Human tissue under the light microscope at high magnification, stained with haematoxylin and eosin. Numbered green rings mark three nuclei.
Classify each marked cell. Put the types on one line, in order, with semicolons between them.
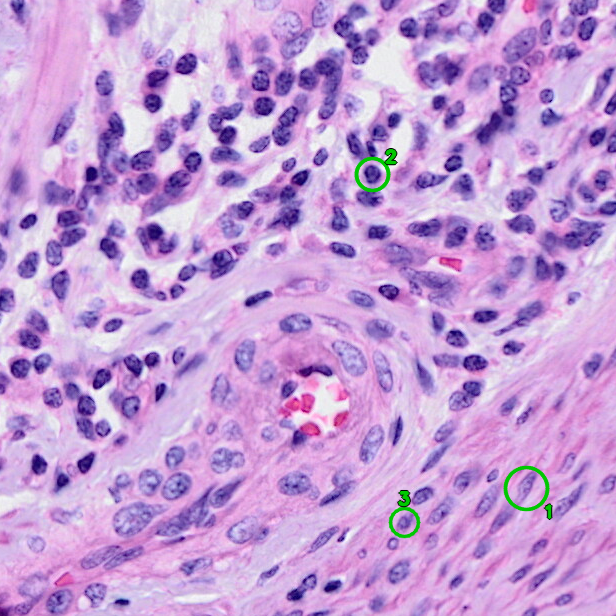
smooth muscle cell; lymphocyte; smooth muscle cell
